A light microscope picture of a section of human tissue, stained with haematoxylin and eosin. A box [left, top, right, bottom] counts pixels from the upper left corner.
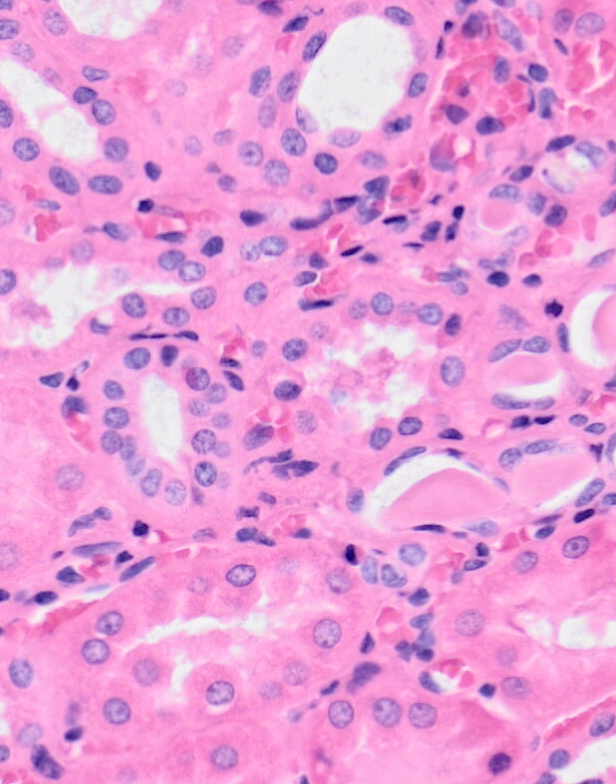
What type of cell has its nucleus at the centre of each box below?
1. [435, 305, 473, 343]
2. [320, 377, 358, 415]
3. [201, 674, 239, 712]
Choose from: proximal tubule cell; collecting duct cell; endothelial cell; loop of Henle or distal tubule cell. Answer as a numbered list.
1. loop of Henle or distal tubule cell
2. loop of Henle or distal tubule cell
3. proximal tubule cell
